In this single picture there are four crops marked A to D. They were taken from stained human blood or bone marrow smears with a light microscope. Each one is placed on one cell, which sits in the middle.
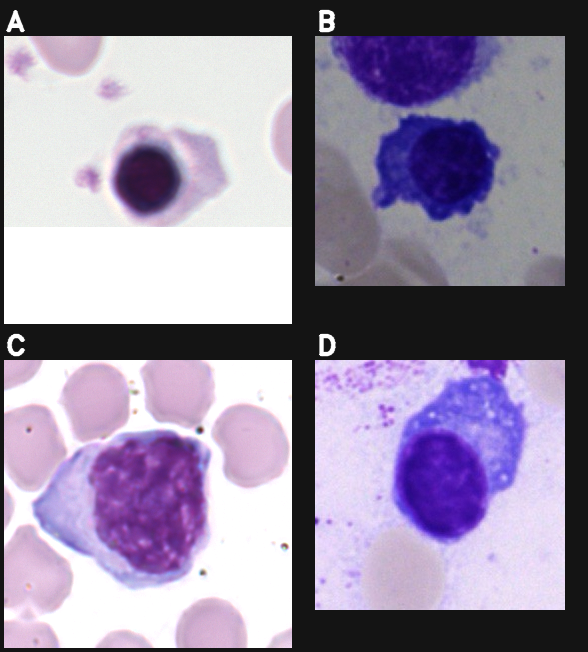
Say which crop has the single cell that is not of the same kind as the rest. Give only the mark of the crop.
A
